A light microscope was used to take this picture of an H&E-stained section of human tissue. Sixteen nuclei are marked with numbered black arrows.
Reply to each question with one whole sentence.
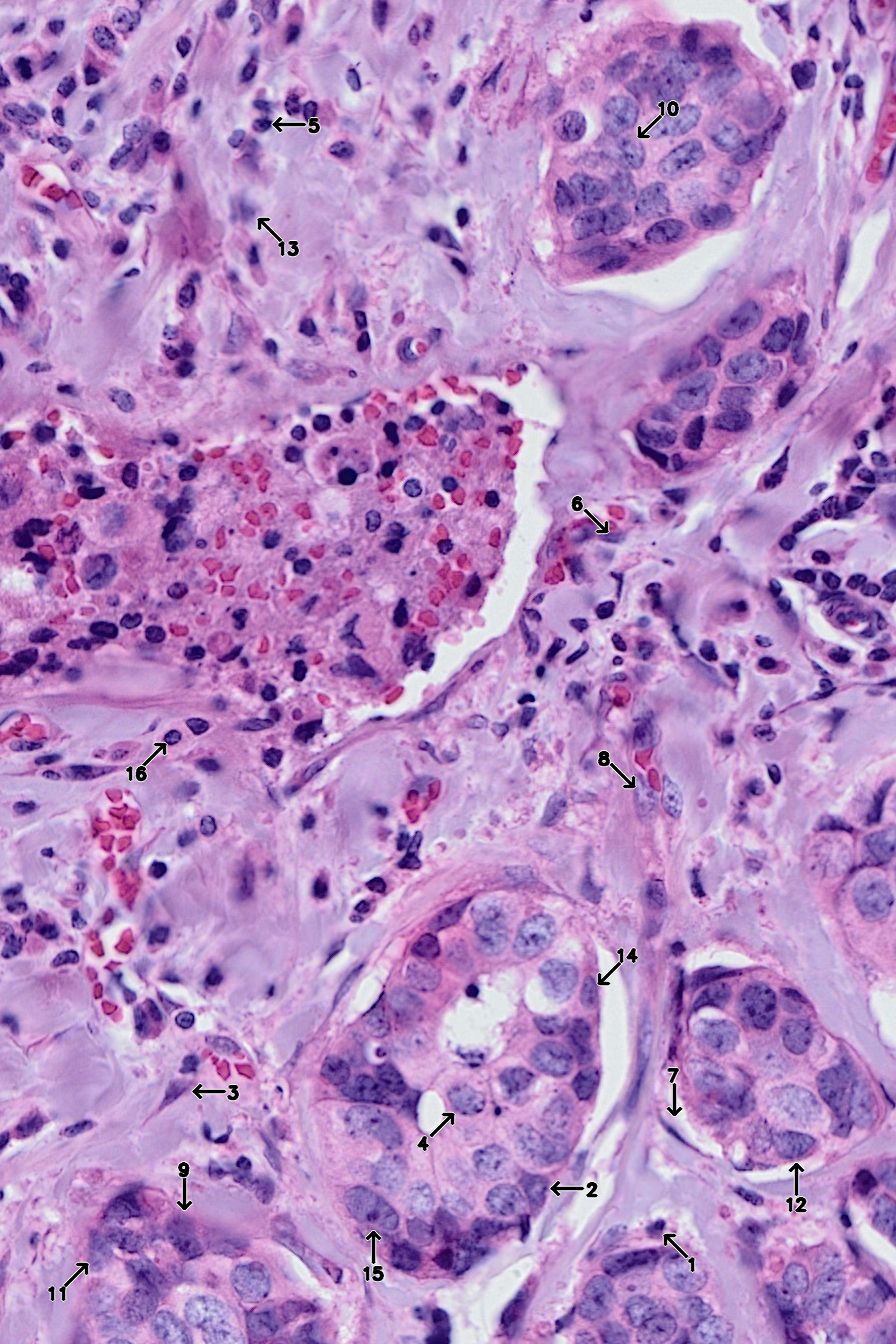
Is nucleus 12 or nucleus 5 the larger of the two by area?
Of the two, number 12 is bigger and takes up about 3 times the area of number 5.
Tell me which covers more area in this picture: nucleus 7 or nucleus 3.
Nucleus 3 is larger, with an area about 1.5 times that of nucleus 7.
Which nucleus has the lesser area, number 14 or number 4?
Nucleus 14 covers less area, with nucleus 4 about 2 times as large.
